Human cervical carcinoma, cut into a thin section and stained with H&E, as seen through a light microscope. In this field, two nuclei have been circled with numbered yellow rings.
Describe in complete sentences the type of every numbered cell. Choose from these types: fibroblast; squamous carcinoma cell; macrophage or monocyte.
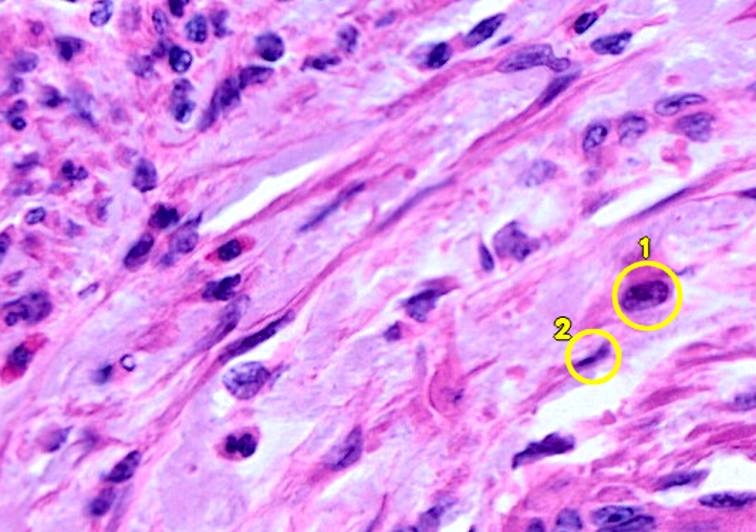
Cell 1 is a macrophage or monocyte and cell 2 is a fibroblast.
